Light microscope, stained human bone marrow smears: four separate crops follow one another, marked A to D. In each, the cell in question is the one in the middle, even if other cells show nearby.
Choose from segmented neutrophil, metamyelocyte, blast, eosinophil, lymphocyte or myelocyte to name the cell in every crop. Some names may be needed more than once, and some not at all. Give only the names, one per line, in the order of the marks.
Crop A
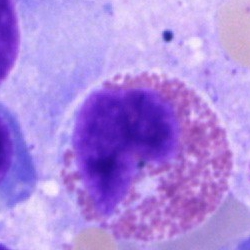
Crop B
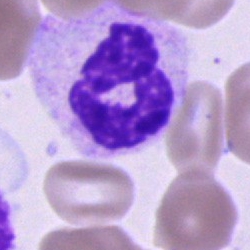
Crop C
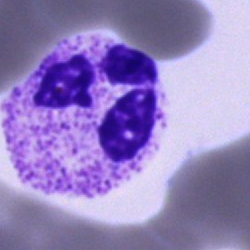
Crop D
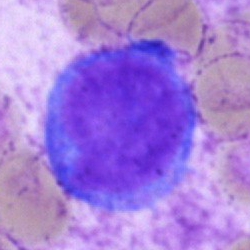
eosinophil
segmented neutrophil
segmented neutrophil
blast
